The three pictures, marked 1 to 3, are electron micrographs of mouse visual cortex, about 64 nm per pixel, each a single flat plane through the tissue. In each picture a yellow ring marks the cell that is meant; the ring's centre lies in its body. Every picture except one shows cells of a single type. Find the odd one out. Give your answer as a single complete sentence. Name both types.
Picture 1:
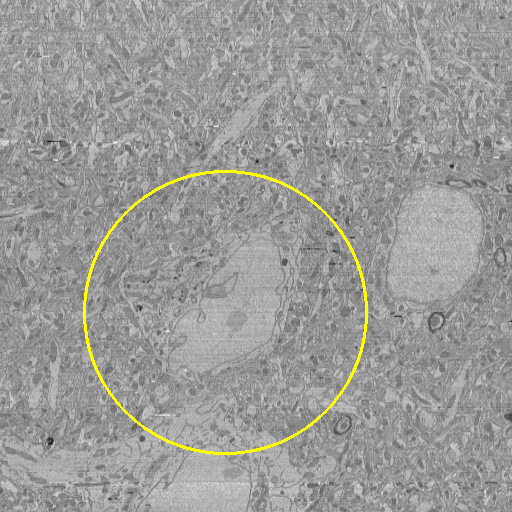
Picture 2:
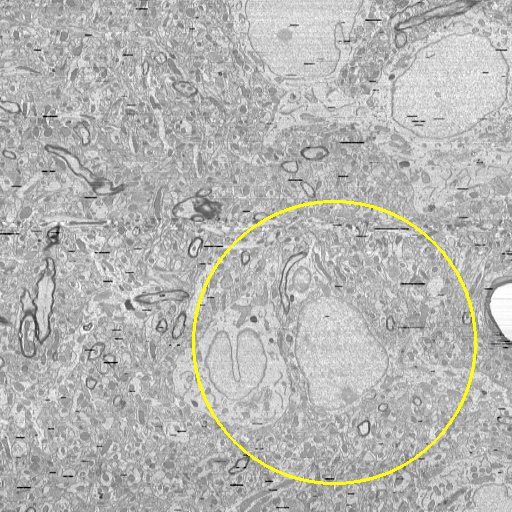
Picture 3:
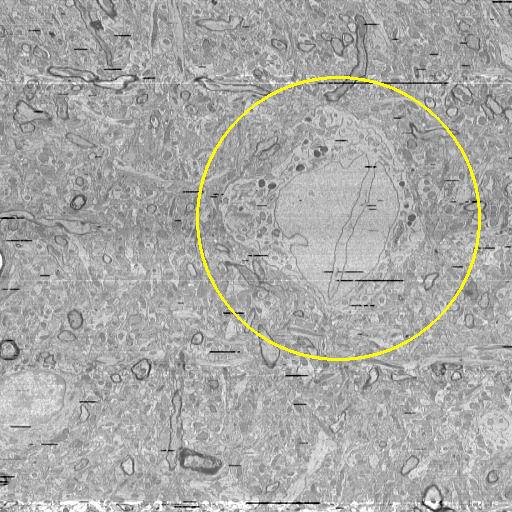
All pictures except 2 show inhibitory neurons; picture 2 shows an astrocyte.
